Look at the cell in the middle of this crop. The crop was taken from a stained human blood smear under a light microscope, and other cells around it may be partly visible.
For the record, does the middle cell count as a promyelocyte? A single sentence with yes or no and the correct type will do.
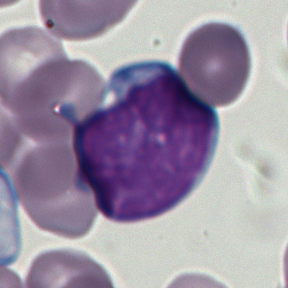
No, the cell placed at the center is a myeloblast rather than a promyelocyte.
